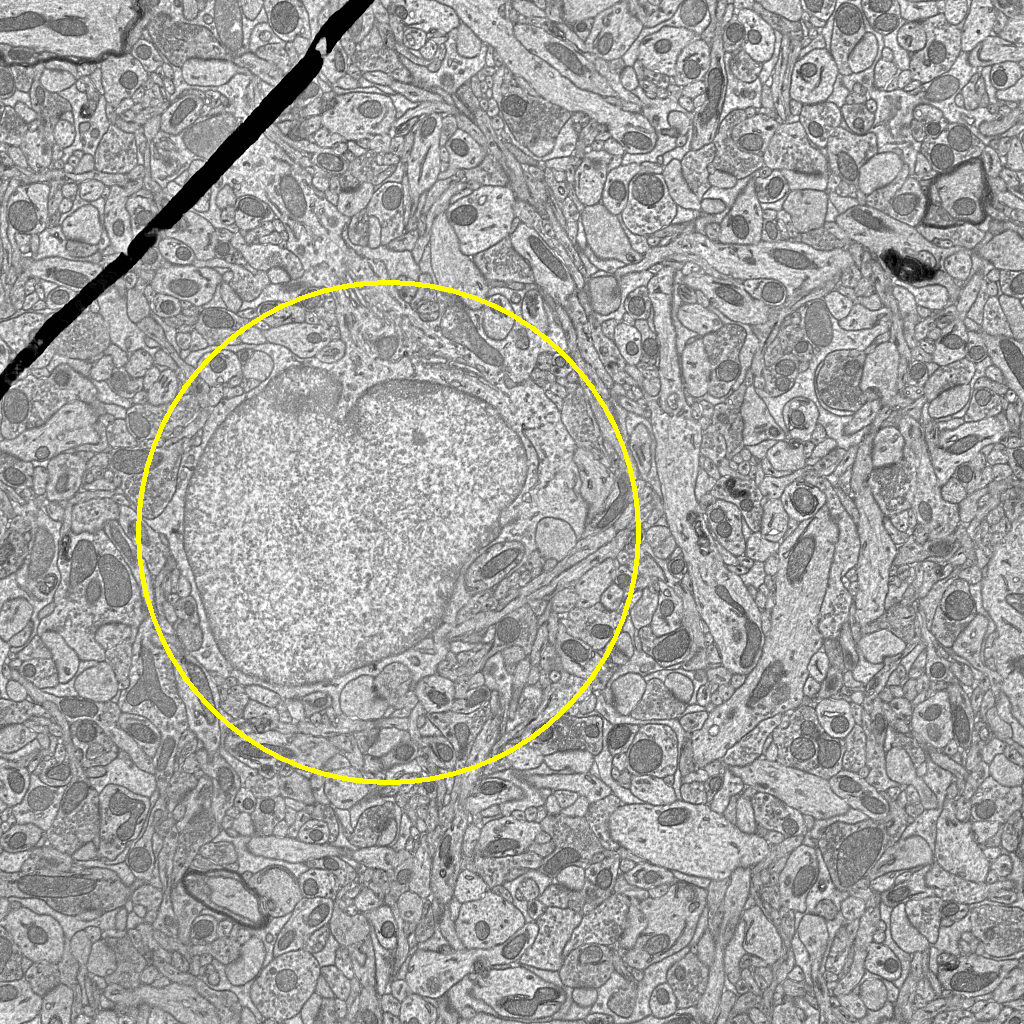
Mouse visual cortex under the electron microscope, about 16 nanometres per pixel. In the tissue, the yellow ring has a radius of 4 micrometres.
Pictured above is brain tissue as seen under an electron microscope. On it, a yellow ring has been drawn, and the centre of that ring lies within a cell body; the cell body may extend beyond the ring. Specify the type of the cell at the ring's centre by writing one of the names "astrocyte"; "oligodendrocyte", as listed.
astrocyte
